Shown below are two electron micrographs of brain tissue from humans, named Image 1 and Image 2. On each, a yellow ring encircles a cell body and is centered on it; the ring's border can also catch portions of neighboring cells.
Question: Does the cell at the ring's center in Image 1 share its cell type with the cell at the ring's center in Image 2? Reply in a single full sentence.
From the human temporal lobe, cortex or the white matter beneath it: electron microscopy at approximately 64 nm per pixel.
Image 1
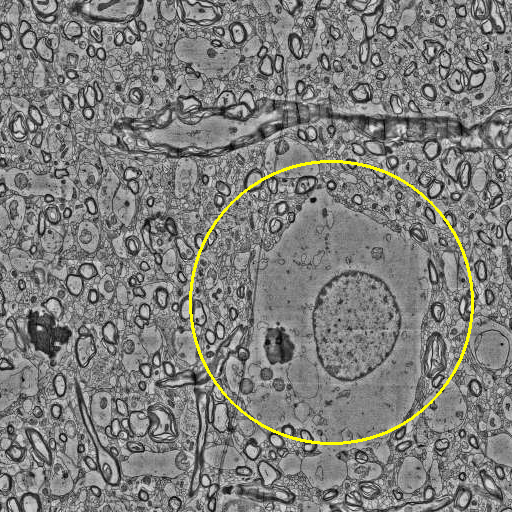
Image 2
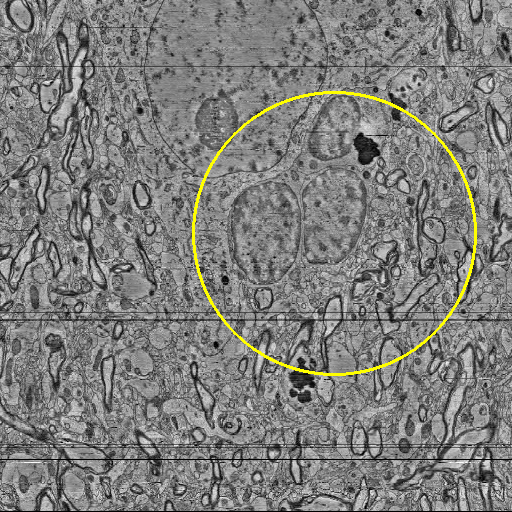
No, the two cells at the ring centers, in Image 1 and Image 2, are of two cell types.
